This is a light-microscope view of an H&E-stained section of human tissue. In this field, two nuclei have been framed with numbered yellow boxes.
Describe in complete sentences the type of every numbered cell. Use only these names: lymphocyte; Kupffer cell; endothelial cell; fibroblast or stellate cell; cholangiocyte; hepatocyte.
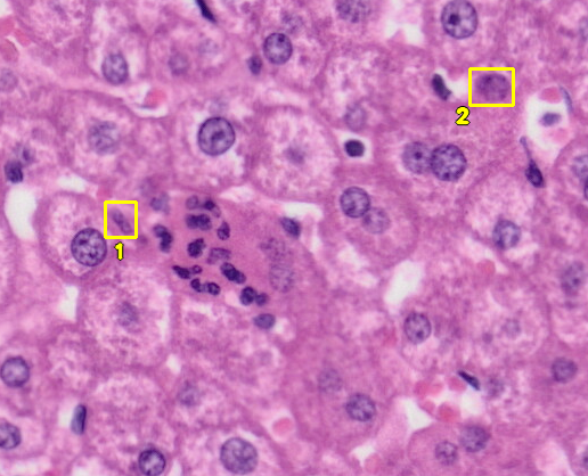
Cell 1 is a Kupffer cell and cell 2 is a hepatocyte.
